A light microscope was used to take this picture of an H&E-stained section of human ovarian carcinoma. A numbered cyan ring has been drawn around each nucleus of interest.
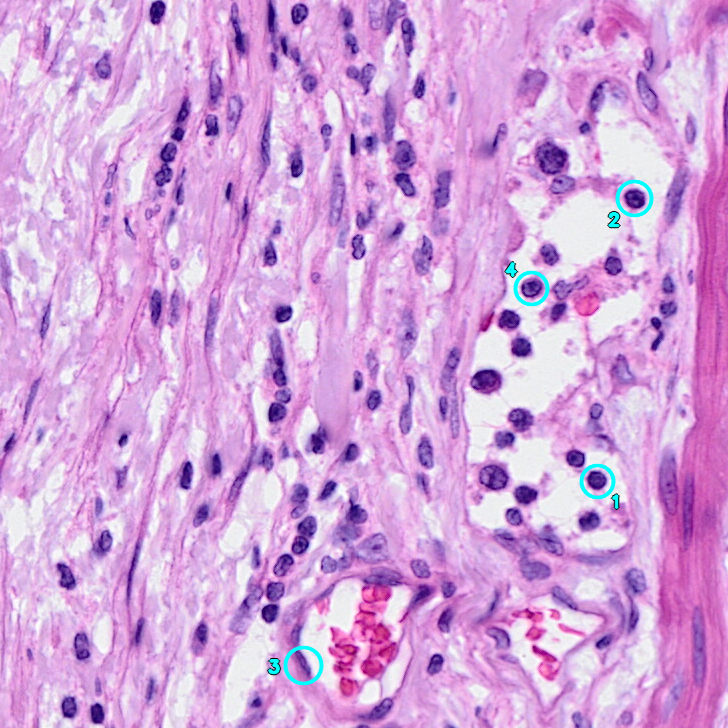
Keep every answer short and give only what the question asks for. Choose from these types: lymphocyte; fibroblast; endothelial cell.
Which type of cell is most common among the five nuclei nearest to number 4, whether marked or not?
lymphocyte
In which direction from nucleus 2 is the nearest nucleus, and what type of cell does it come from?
an endothelial cell; to the right of nucleus 2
